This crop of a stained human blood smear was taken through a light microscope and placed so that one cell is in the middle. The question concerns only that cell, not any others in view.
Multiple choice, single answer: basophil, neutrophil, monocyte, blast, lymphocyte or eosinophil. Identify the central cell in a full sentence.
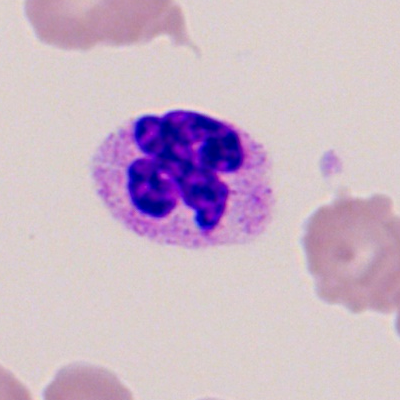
Centred in the crop is a neutrophil.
